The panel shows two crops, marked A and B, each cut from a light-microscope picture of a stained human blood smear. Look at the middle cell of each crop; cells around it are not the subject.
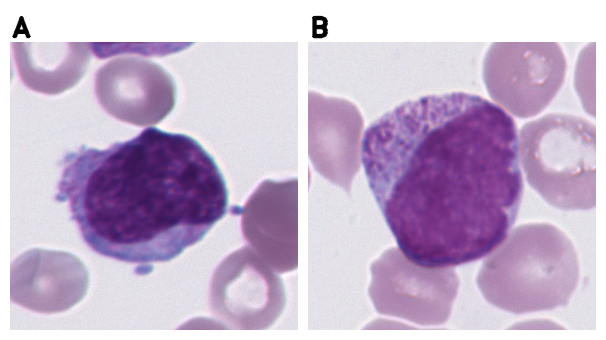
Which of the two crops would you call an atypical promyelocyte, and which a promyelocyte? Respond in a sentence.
The cell that crop A centres on is an atypical promyelocyte, and the cell that crop B centres on is a promyelocyte.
